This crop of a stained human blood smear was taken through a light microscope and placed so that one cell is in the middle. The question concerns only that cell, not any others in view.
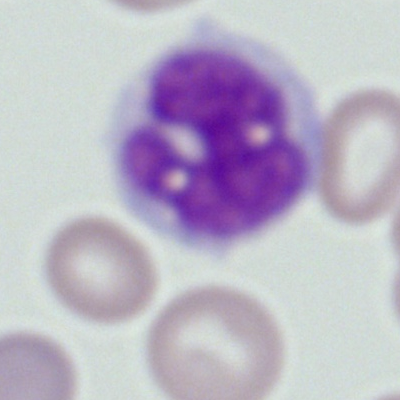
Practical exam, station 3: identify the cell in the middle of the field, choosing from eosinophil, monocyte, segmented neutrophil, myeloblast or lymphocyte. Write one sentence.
Occupying the centre of the crop is a monocyte.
